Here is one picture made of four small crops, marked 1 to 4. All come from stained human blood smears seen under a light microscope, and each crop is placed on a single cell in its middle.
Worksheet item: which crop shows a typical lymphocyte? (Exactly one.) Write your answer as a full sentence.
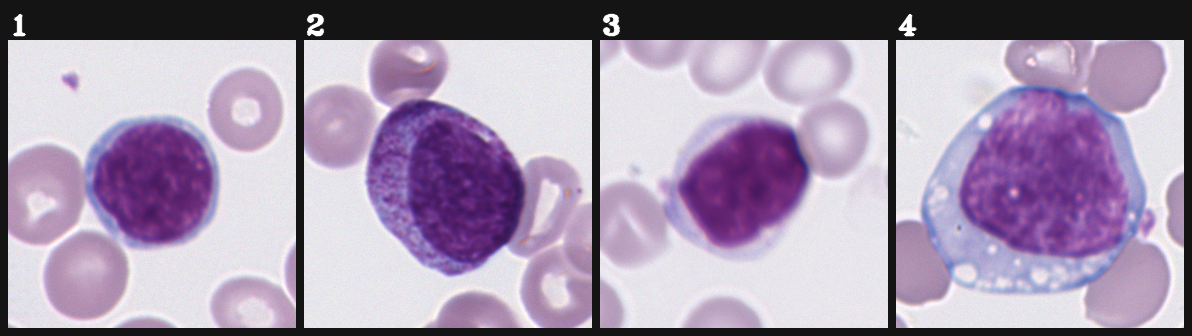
The correct choice is crop 1, the one showing a typical lymphocyte.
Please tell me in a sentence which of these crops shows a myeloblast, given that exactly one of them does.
Crop 4 is the one in the set with a myeloblast at the center.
